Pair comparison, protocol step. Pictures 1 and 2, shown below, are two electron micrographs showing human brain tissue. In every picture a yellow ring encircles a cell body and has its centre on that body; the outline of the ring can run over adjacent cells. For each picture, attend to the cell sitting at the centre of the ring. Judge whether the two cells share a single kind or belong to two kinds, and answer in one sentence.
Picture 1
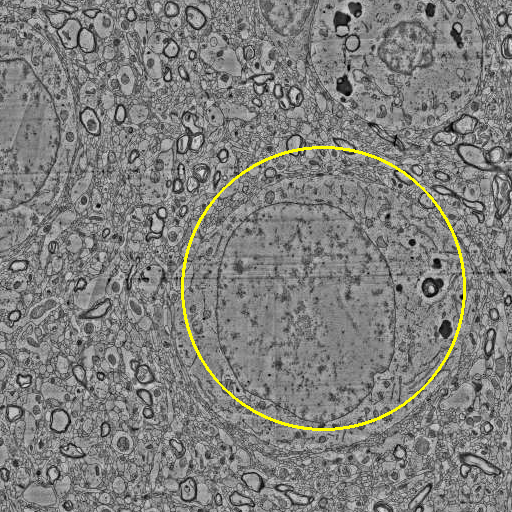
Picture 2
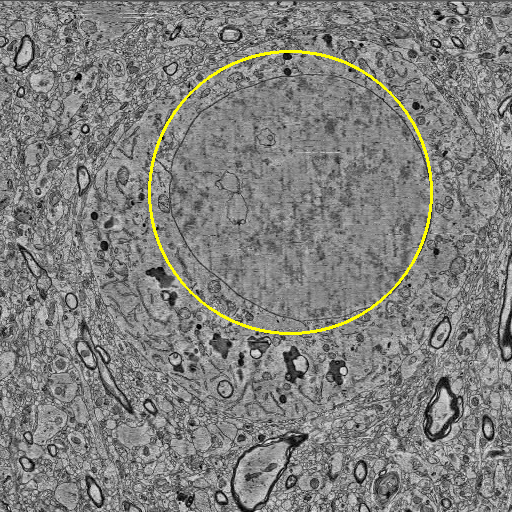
The two cells at the ring centres in Picture 1 and Picture 2 share a single kind.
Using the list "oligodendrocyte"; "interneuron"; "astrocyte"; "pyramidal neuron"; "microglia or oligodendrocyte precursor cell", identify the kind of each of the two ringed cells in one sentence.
The ring centre holds a pyramidal neuron in each of the two pictures.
